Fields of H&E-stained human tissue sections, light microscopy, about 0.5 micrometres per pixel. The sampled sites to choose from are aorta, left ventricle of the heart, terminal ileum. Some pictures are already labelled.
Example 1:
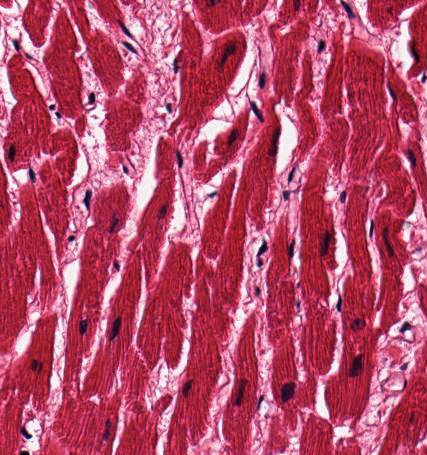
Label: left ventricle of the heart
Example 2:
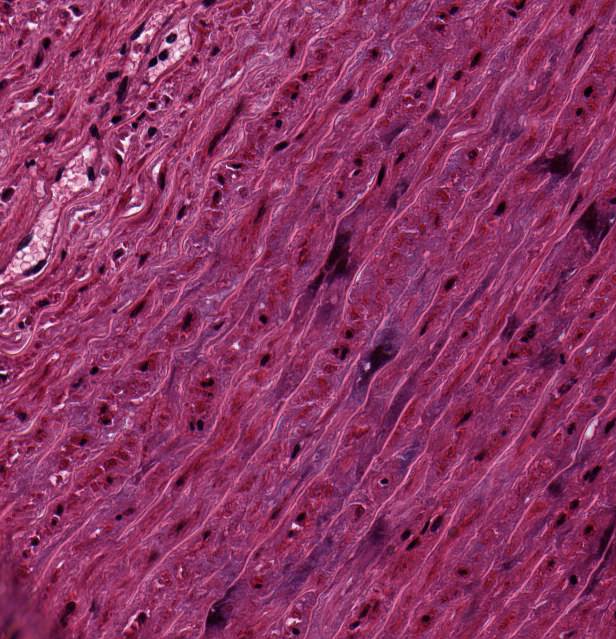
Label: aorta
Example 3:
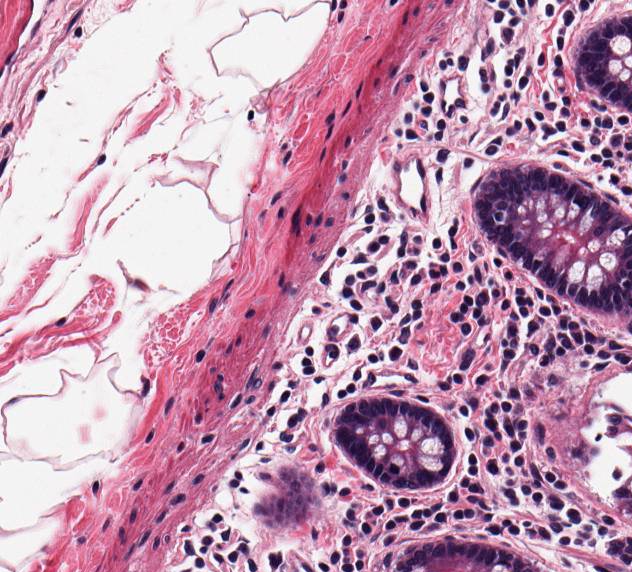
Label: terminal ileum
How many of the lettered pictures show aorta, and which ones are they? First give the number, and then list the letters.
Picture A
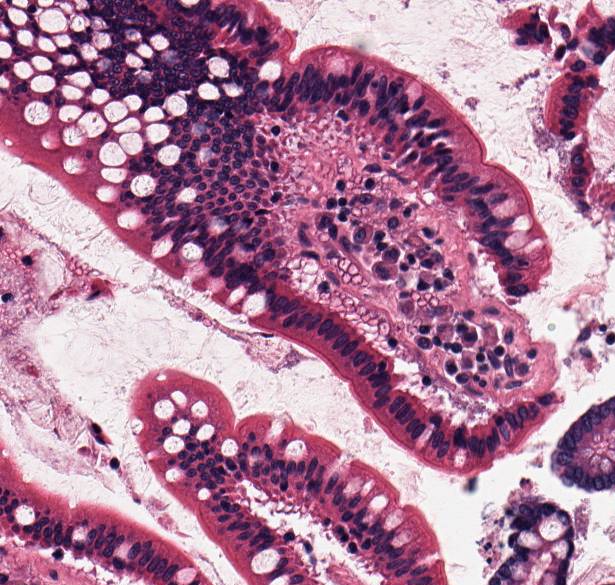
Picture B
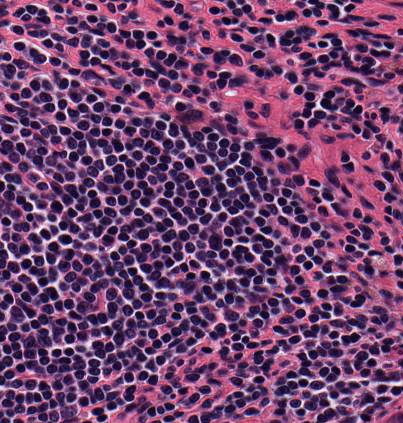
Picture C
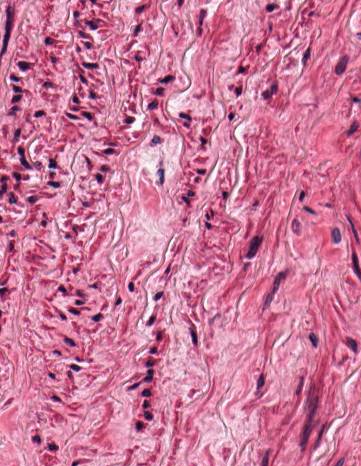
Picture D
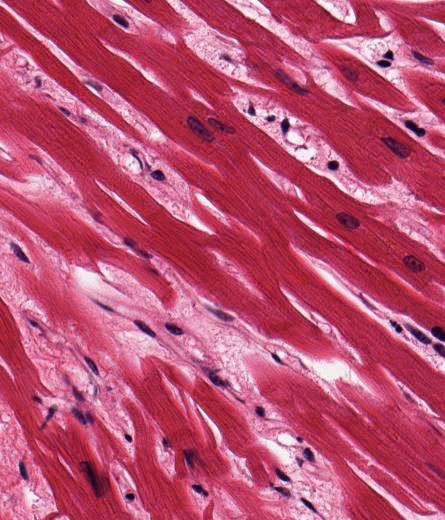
1, namely C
